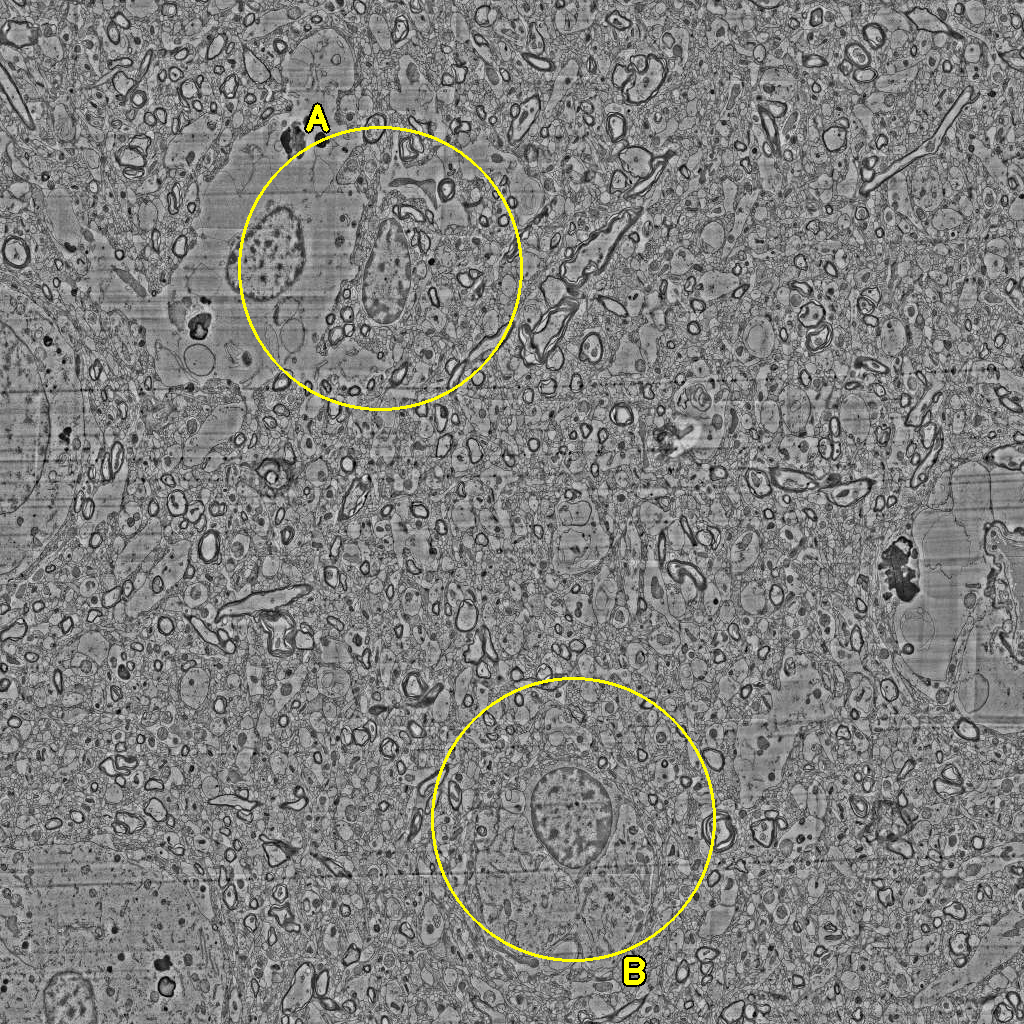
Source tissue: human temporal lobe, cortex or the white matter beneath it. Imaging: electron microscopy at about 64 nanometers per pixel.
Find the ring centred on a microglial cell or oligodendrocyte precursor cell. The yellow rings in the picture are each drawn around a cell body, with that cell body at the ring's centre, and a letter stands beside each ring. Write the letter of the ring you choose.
A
